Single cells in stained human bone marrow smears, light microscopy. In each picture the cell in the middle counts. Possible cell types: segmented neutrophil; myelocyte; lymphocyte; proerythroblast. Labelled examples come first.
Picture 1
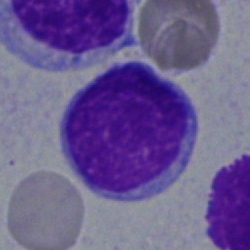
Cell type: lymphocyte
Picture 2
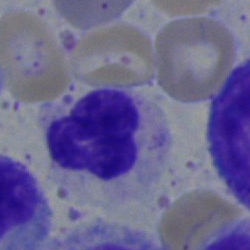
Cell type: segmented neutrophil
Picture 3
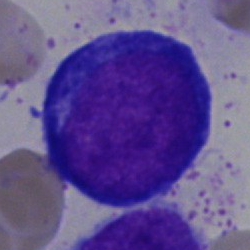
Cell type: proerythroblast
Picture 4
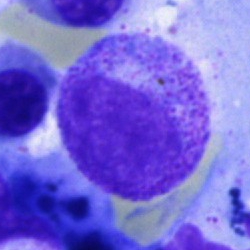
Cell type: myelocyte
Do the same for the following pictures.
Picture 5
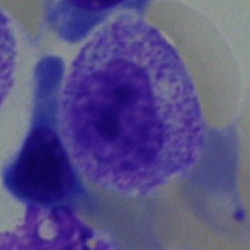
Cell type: myelocyte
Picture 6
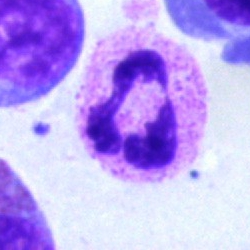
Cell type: segmented neutrophil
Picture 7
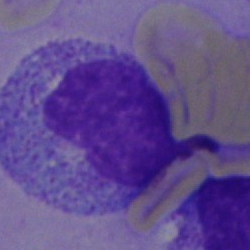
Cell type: myelocyte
